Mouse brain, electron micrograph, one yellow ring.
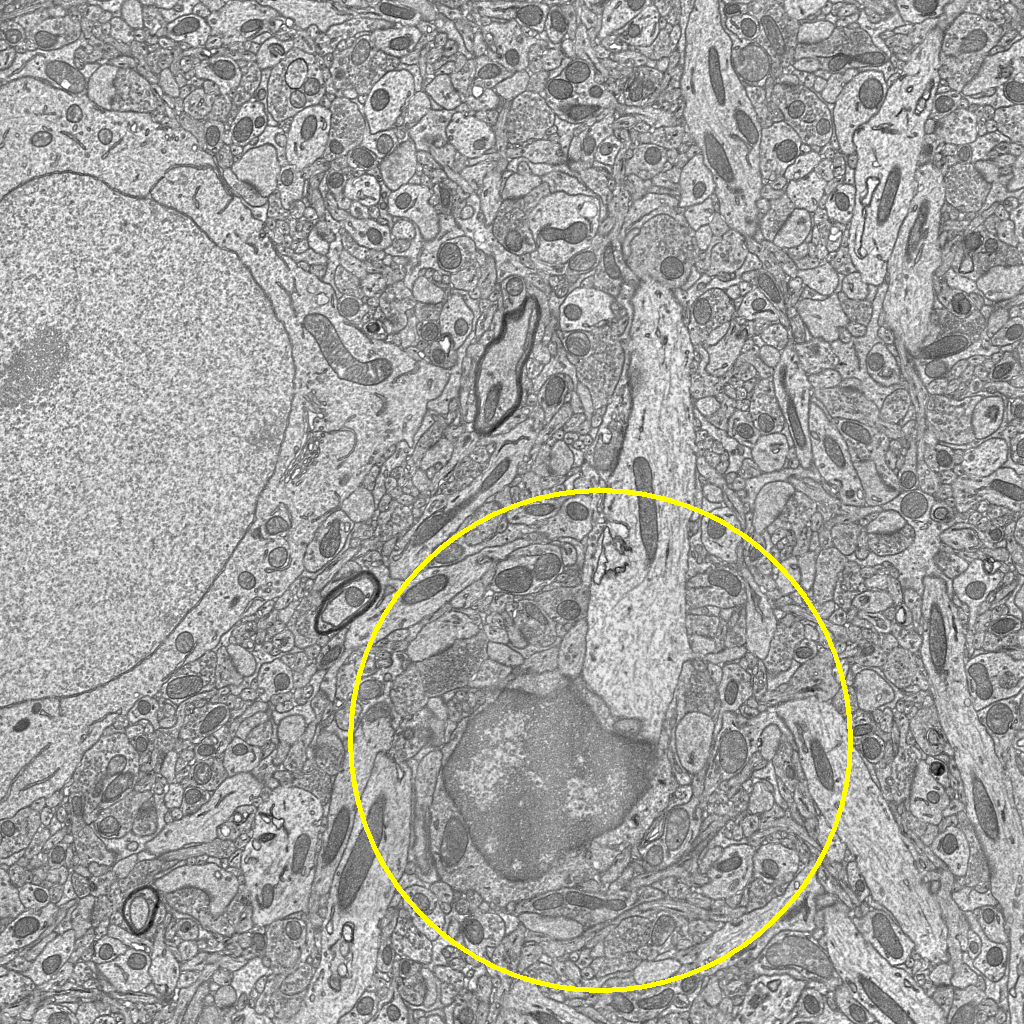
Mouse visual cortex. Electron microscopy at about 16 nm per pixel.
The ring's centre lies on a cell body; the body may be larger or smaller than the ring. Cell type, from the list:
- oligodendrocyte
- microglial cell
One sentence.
The yellow ring's centre lies on an oligodendrocyte.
